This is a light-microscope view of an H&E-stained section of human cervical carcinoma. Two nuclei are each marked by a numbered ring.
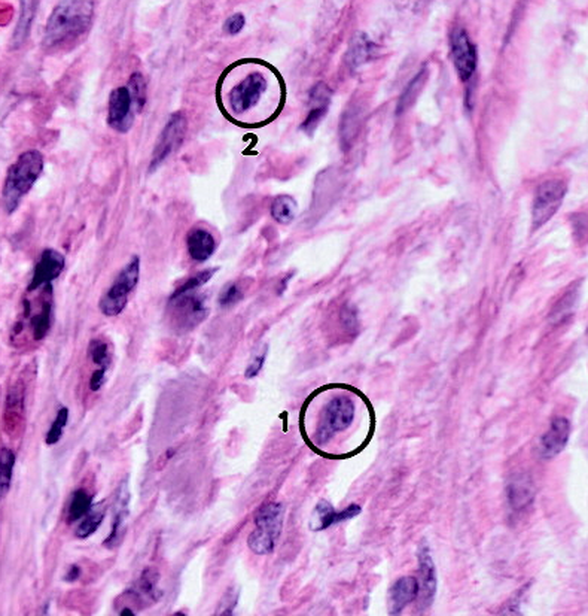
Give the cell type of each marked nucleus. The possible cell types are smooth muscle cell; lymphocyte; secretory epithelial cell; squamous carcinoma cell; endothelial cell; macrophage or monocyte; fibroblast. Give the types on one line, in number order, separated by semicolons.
macrophage or monocyte; lymphocyte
